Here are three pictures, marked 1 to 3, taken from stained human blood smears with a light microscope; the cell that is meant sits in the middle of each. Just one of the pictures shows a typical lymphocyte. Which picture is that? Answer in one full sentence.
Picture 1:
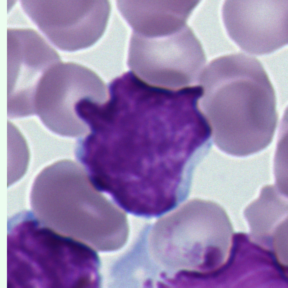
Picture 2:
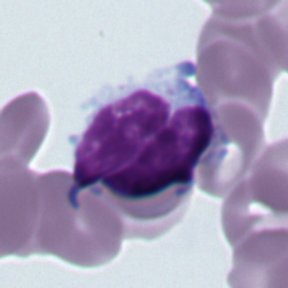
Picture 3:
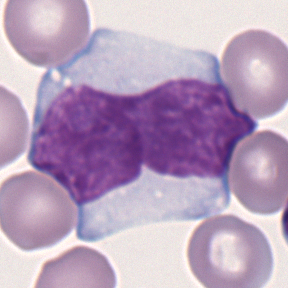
The picture with the typical lymphocyte is 1.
